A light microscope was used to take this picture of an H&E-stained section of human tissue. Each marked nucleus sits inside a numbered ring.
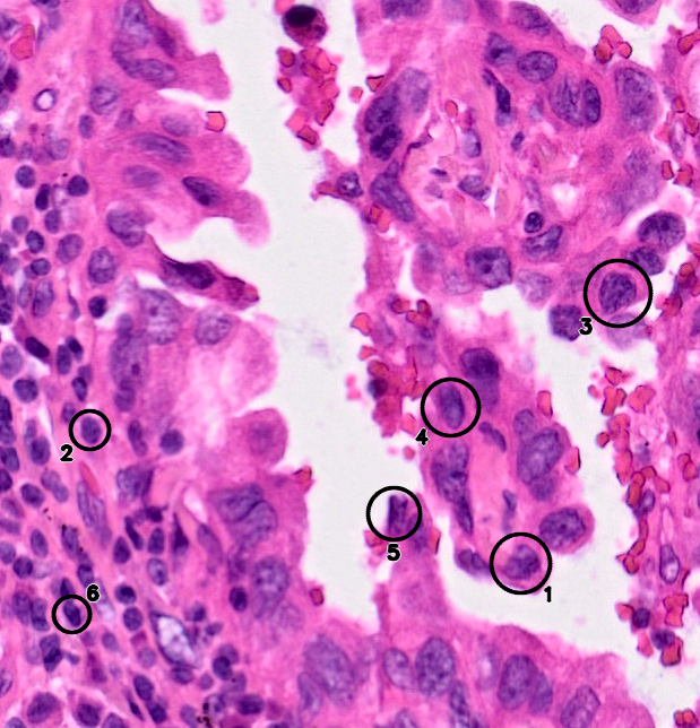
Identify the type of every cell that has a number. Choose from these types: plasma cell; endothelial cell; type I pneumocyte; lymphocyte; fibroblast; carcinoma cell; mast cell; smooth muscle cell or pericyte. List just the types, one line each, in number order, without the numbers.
carcinoma cell
lymphocyte
carcinoma cell
carcinoma cell
carcinoma cell
lymphocyte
